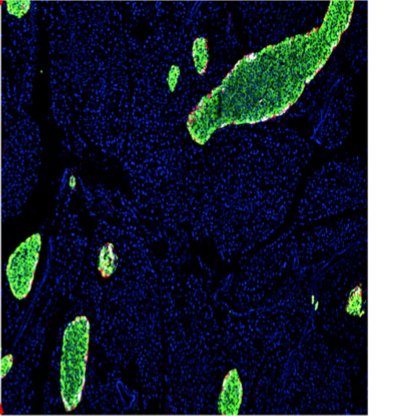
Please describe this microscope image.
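Pancreatic islets lie scattered within exocrine tissue. Around the islets, the exocrine tissue is packed with blue nuclei in lobule-like groups. Thin dark clefts run between these lobules, and the islets stand out sharply from the surrounding tissue.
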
